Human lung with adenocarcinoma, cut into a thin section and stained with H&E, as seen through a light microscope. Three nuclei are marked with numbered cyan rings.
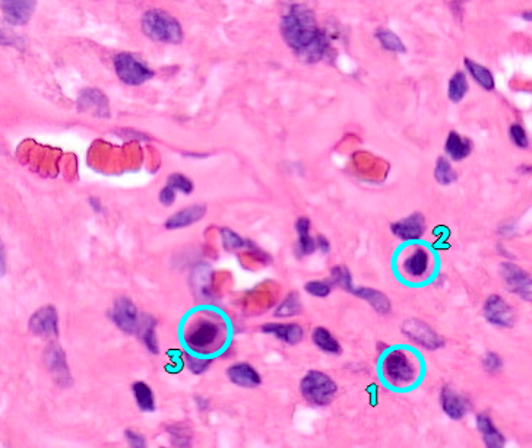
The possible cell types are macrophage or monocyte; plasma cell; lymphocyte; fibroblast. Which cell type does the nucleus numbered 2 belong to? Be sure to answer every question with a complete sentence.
The cell referenced by the number 2 is a lymphocyte in this field.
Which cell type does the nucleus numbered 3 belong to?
The cell identified by the number 3 is a plasma cell.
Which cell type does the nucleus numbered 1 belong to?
The cell that is numbered 1 is a plasma cell.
